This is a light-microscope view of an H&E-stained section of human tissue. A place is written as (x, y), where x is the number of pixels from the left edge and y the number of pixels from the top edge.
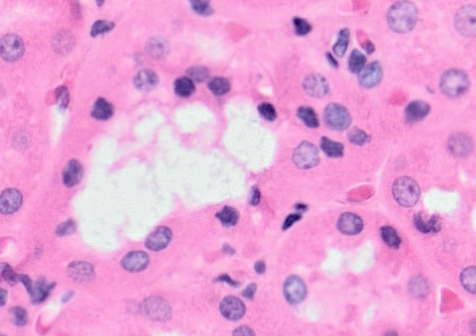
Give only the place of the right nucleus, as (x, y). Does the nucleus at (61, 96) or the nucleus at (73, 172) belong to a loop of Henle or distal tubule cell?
(73, 172)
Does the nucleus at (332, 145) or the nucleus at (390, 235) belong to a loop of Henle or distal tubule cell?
(332, 145)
